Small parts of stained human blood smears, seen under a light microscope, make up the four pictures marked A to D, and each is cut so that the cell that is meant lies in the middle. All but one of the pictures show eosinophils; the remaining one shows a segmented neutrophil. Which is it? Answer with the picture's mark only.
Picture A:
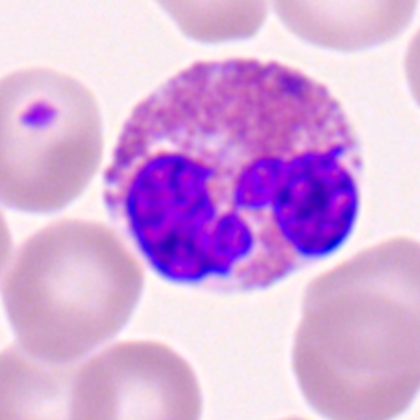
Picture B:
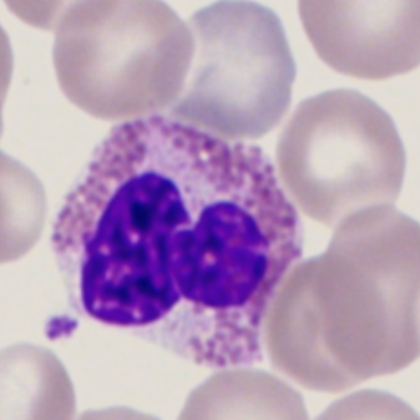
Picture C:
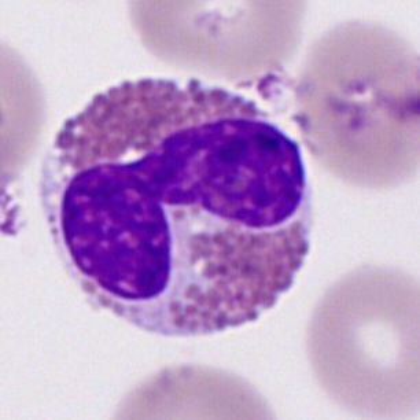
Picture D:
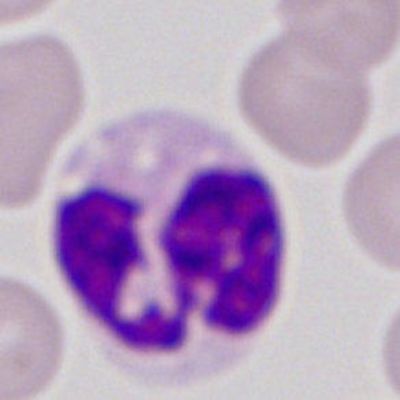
D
